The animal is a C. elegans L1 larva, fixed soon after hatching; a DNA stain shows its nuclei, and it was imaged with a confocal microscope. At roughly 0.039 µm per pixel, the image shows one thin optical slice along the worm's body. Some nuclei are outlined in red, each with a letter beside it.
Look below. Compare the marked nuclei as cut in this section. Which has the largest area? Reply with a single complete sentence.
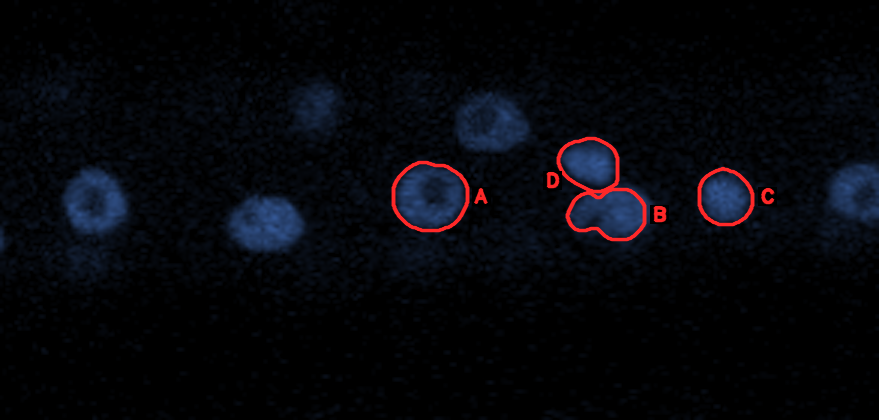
A is the one with the largest cut area.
